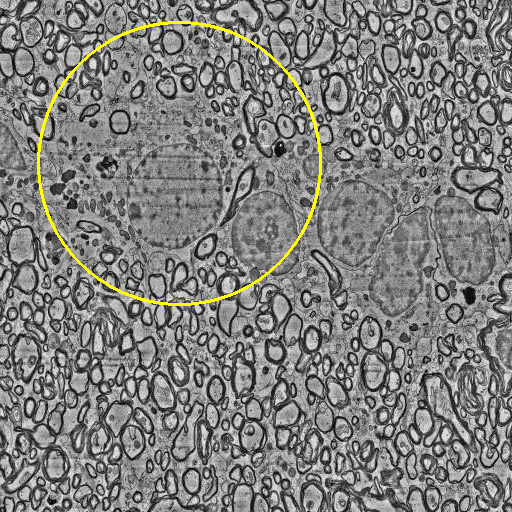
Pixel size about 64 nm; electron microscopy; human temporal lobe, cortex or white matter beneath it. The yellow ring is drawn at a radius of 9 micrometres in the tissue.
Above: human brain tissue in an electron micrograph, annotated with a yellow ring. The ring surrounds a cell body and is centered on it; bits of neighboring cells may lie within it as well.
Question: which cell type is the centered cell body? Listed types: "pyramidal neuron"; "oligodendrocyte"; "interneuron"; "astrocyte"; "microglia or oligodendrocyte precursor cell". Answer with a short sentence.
The centered cell body is an astrocyte.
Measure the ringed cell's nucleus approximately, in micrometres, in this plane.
In this plane, approximately 7 micrometres across.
